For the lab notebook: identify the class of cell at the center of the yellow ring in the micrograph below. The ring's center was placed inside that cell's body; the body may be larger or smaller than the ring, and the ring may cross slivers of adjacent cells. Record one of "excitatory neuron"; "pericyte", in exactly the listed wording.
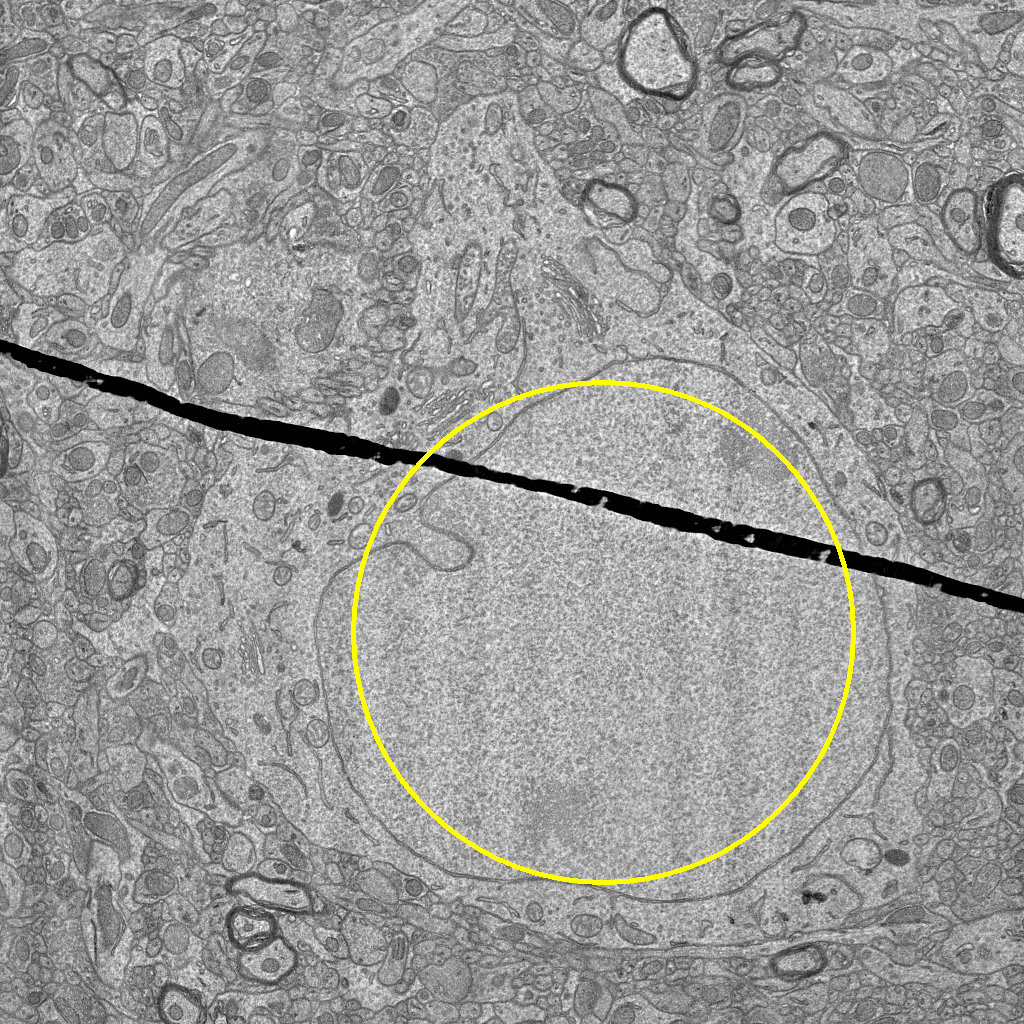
excitatory neuron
